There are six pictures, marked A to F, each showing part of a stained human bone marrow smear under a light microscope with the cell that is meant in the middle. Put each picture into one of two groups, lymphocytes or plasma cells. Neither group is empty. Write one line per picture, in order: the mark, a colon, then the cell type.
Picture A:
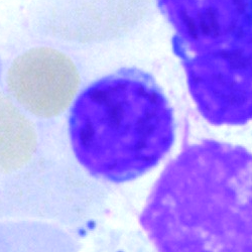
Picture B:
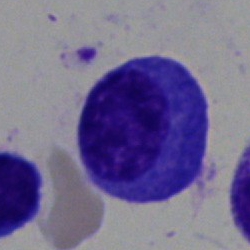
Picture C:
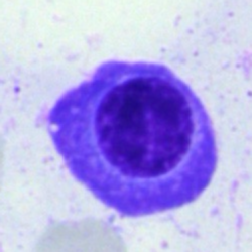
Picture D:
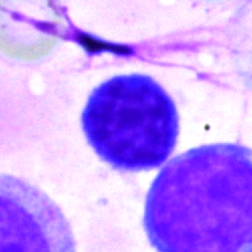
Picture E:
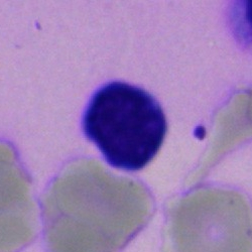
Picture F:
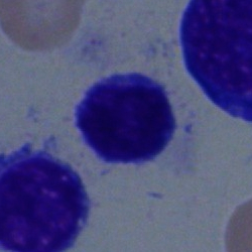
A: lymphocyte
B: plasma cell
C: plasma cell
D: lymphocyte
E: lymphocyte
F: lymphocyte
